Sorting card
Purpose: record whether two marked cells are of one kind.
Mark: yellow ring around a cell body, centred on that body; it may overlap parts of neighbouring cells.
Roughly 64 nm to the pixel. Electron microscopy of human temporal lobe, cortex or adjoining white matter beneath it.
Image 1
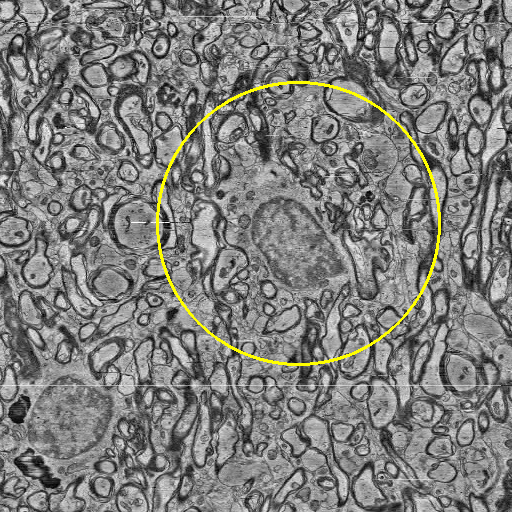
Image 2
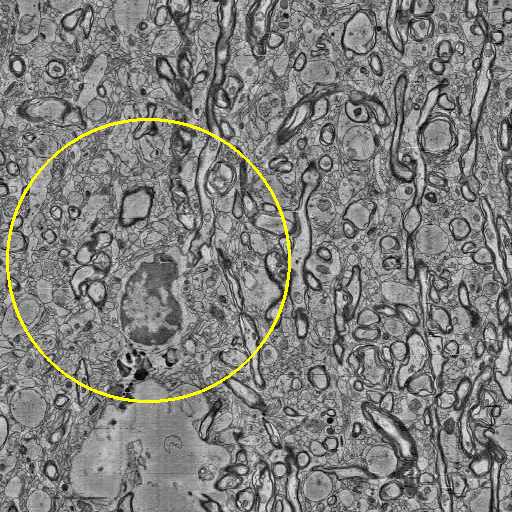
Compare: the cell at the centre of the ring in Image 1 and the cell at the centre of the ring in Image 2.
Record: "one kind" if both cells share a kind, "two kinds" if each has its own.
two kinds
